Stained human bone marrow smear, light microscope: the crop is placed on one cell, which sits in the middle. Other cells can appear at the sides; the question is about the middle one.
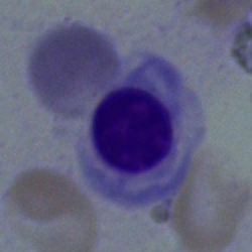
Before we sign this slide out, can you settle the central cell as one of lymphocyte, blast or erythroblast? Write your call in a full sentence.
For this crop, the cell in the middle is an erythroblast.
